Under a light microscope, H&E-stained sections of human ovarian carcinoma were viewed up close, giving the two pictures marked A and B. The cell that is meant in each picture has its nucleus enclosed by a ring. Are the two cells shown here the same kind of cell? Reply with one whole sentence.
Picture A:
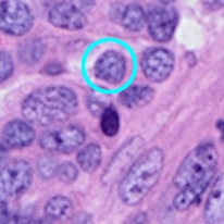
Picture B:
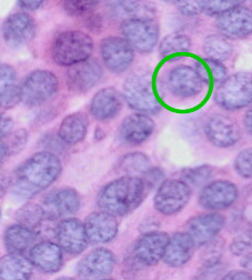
Yes, both are carcinoma cells.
